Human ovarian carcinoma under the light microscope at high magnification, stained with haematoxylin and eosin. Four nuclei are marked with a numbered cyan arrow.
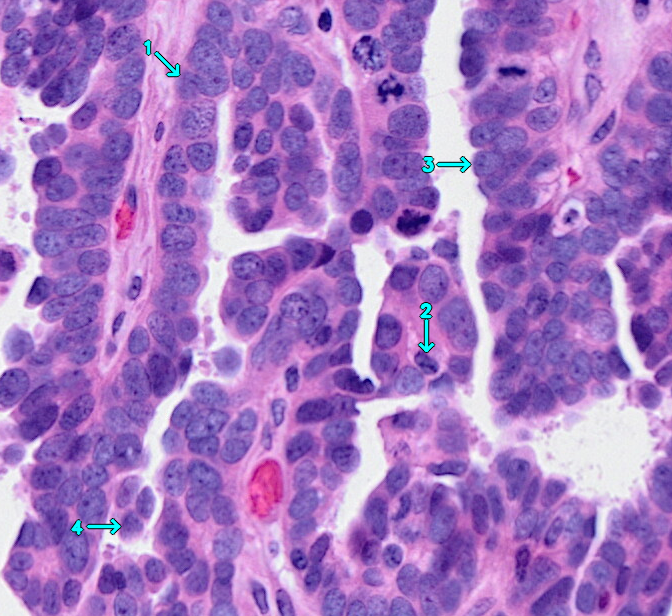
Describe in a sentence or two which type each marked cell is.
Cell 1 is a carcinoma cell, cell 2 is a macrophage or monocyte, cell 3 is a carcinoma cell and cell 4 is a carcinoma cell.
